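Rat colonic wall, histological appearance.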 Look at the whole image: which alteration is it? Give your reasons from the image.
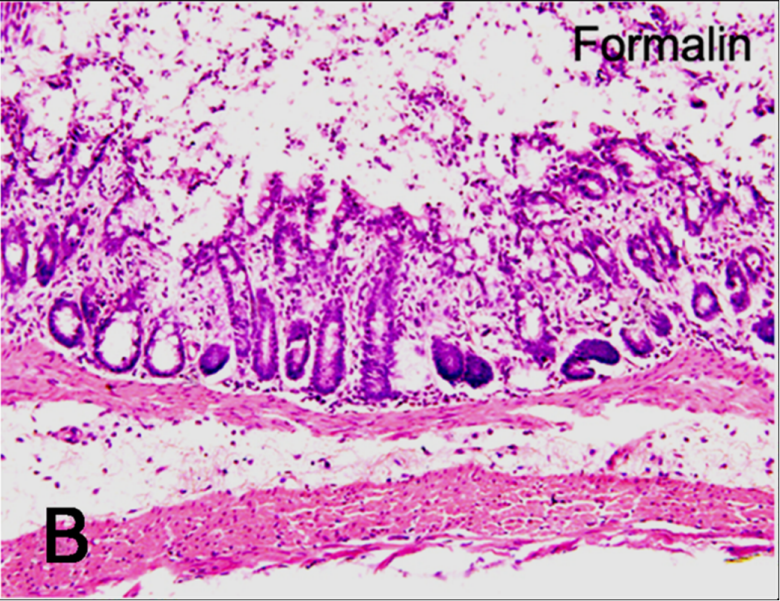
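The surface epithelium of the upper mucosa is missing. The upper half of the section is a loose pale mass with scattered small dark nuclei.
Conclusion: ulceration covered by exudates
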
